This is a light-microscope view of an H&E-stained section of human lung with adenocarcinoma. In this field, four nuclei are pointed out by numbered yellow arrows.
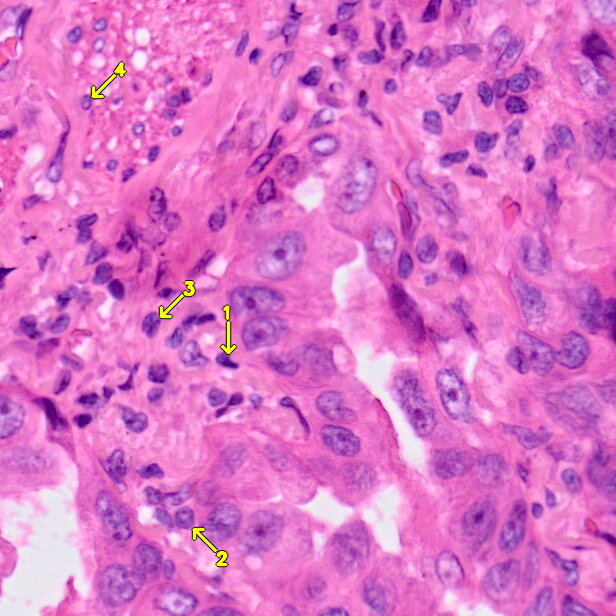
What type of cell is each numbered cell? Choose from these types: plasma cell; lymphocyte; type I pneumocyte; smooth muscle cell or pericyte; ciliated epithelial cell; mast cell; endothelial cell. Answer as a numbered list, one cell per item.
1. lymphocyte
2. lymphocyte
3. lymphocyte
4. smooth muscle cell or pericyte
